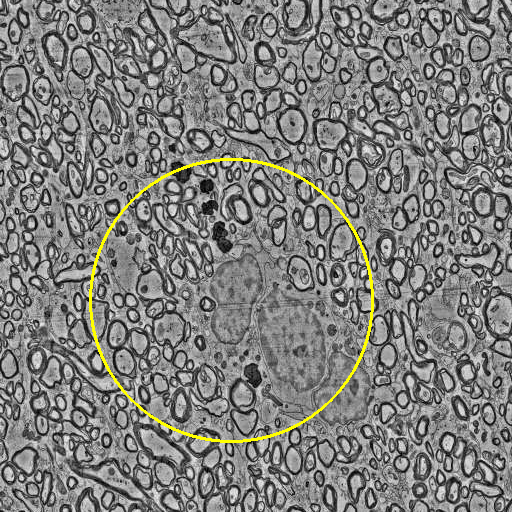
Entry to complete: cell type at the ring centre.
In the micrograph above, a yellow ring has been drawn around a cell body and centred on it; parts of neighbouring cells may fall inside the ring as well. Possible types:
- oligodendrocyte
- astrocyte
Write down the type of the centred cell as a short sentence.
The ring is centred on an oligodendrocyte.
